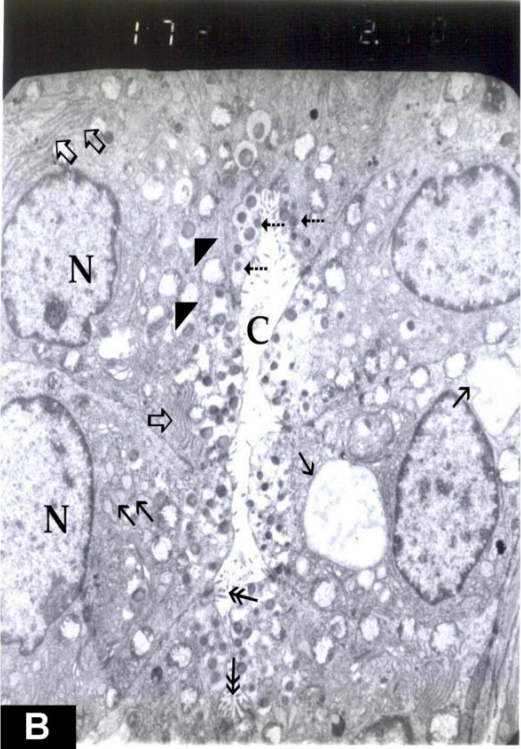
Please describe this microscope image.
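Thyroid follicular cells are seen arranged around a narrow central lumen of colloid, with large rounded nuclei lying toward the cell bases. The nuclei have finely dispersed chromatin and small dark clumps along the nuclear envelope. The cytoplasm contains stacked membranes of endoplasmic reticulum, small rounded mitochondria, many pale colloid vesicles and numerous small dark dense bodies that gather near the apex. The cell surfaces facing the lumen carry fine microvilli, and some large clear vacuoles lie in the cytoplasm.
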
